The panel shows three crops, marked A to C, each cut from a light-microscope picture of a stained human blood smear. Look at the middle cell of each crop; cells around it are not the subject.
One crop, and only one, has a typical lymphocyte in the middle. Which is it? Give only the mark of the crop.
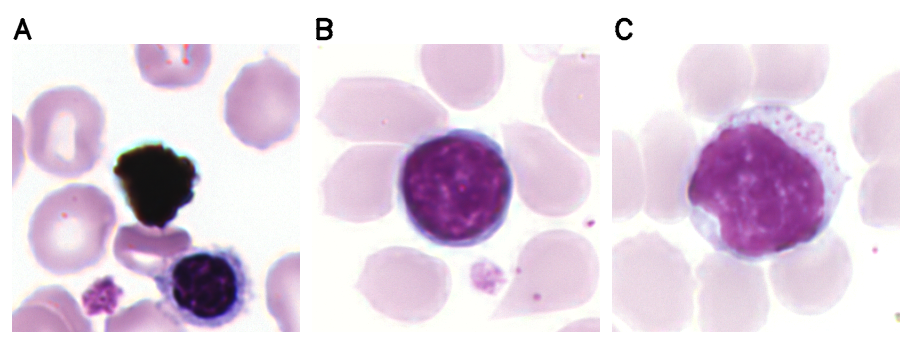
B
